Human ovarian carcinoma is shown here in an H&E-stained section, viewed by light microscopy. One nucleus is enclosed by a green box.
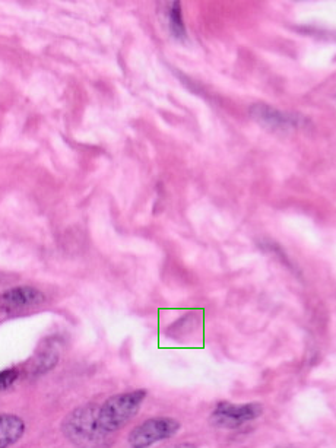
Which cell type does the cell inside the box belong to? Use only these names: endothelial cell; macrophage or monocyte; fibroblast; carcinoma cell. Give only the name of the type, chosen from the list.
fibroblast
